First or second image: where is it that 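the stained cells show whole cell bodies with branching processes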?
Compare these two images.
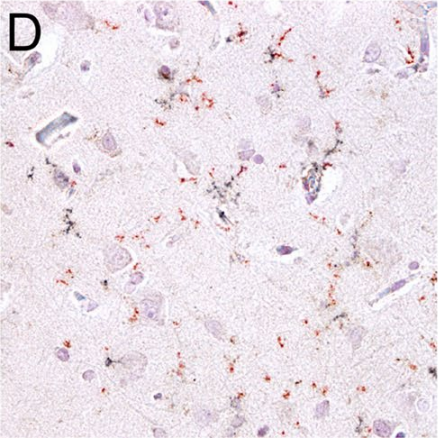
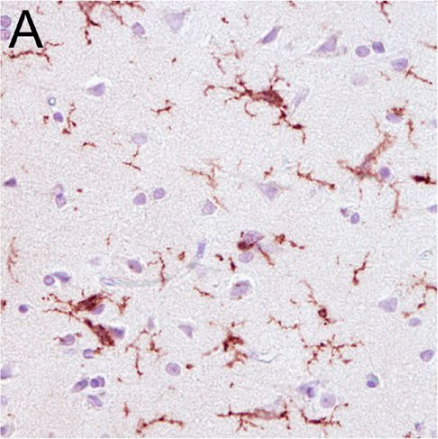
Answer: the second image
